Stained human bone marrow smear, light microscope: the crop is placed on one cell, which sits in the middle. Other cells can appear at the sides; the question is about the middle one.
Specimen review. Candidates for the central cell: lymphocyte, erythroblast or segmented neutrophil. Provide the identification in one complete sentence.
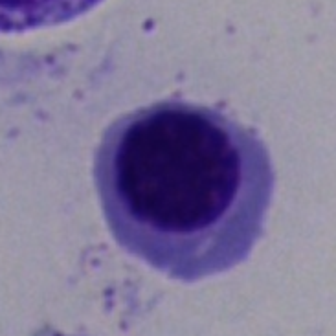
Of the cells in this crop, the central one is an erythroblast.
